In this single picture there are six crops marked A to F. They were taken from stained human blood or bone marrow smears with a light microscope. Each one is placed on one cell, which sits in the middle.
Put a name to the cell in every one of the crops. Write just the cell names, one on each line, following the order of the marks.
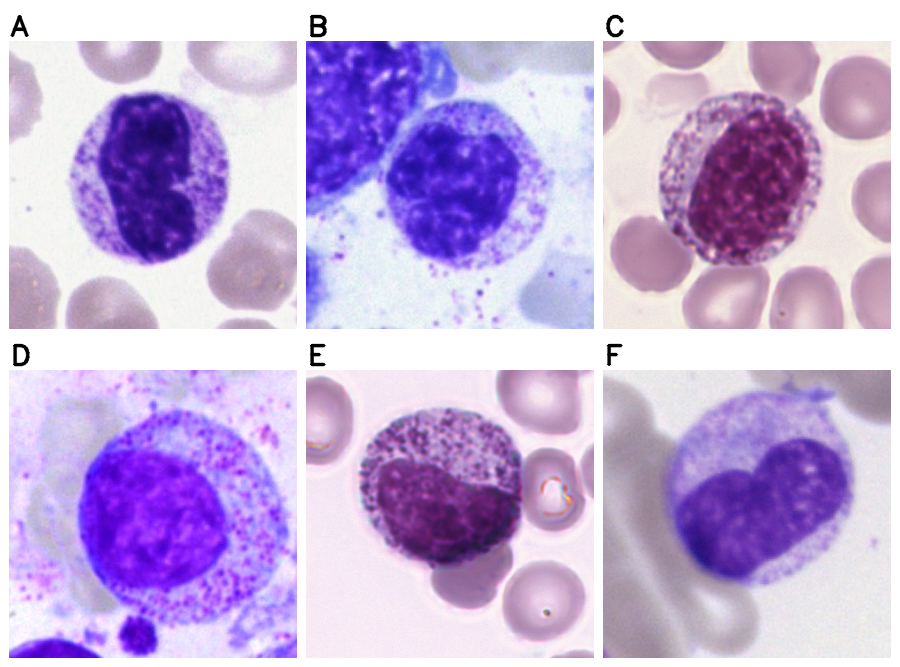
metamyelocyte
myelocyte
myelocyte
myelocyte
metamyelocyte
metamyelocyte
